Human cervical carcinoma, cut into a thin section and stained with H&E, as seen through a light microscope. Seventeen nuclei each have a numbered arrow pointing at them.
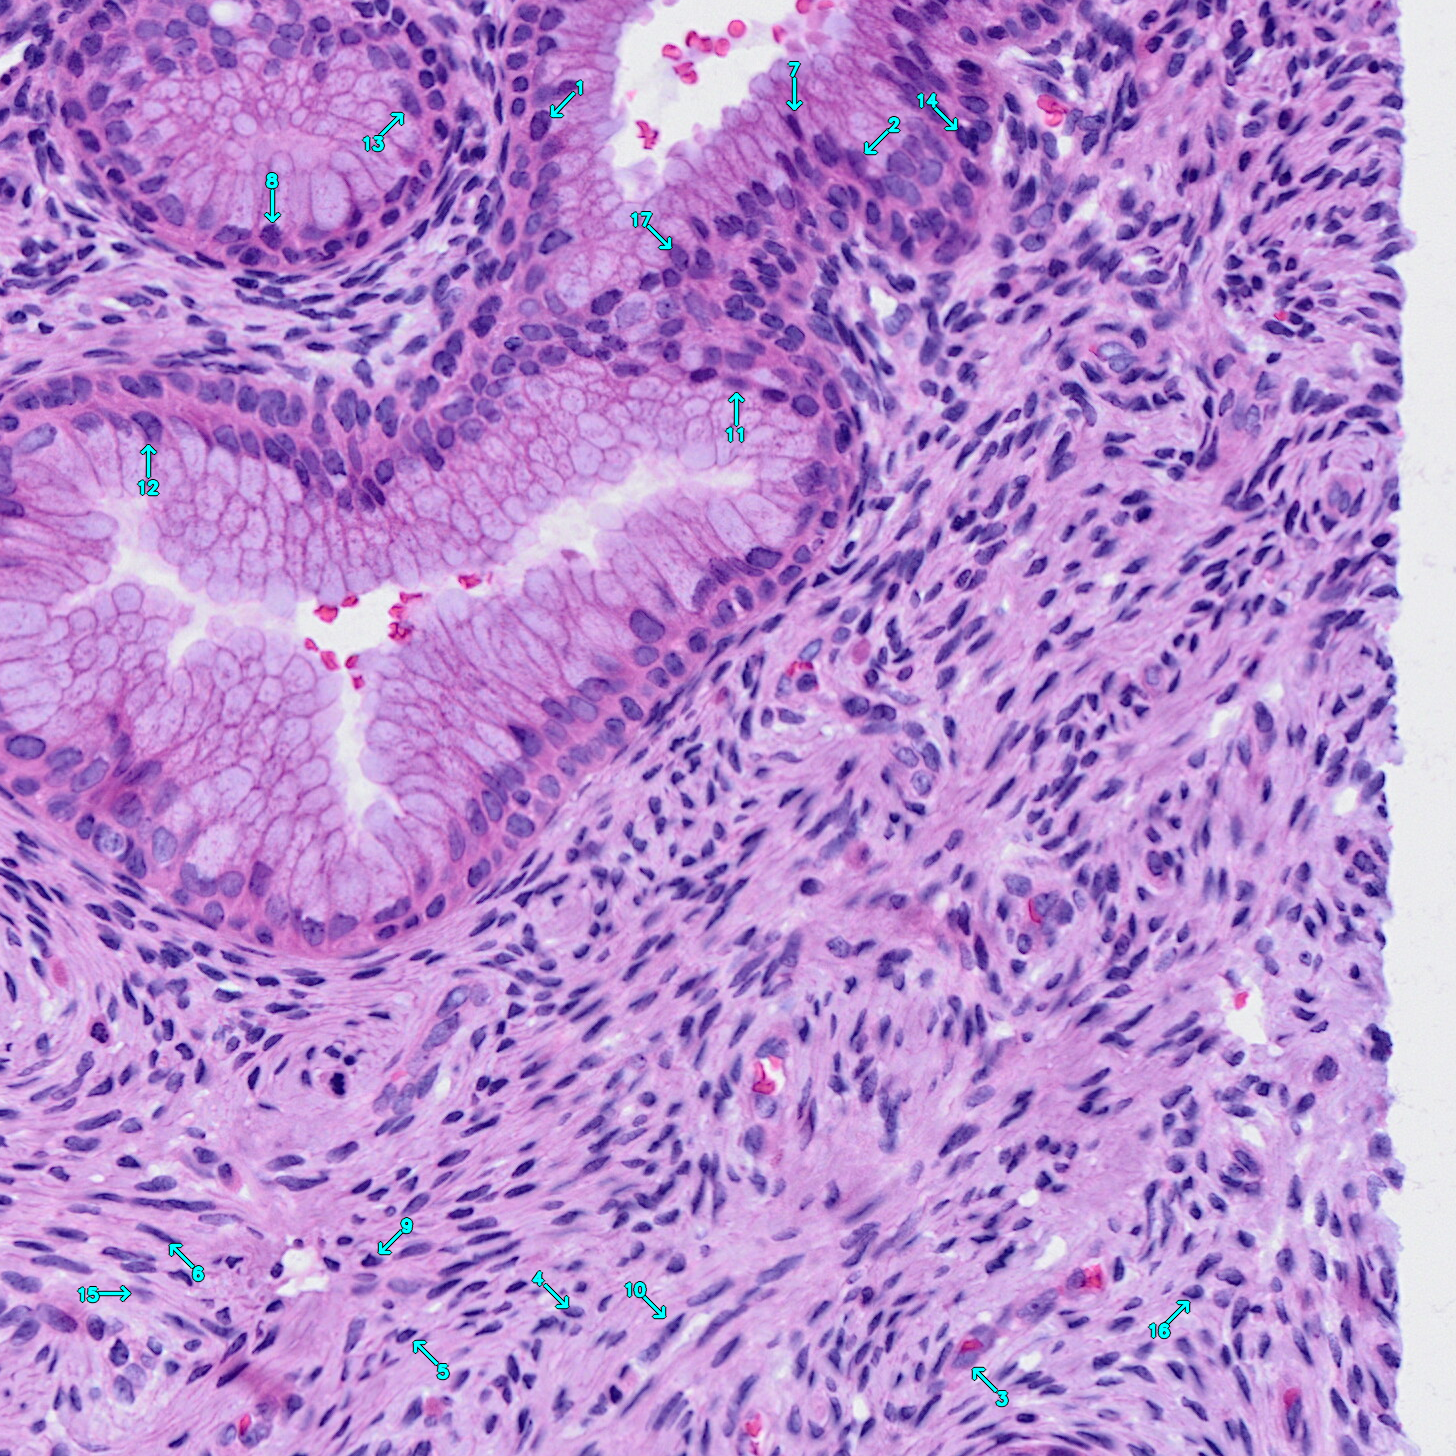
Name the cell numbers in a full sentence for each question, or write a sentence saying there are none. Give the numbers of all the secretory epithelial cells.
The cells 1, 2, 7, 8, 11, 12, 13, 14 and 17 in this section are secretory epithelial cells.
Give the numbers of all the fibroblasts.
Identified as fibroblasts are the cells numbered 4, 5, 6, 9, 10, 15 and 16.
